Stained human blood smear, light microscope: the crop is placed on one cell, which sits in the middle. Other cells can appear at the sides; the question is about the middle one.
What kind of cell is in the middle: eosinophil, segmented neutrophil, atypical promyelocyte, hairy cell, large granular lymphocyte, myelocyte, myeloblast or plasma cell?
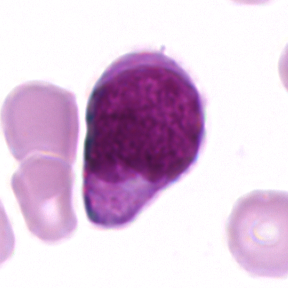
atypical promyelocyte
